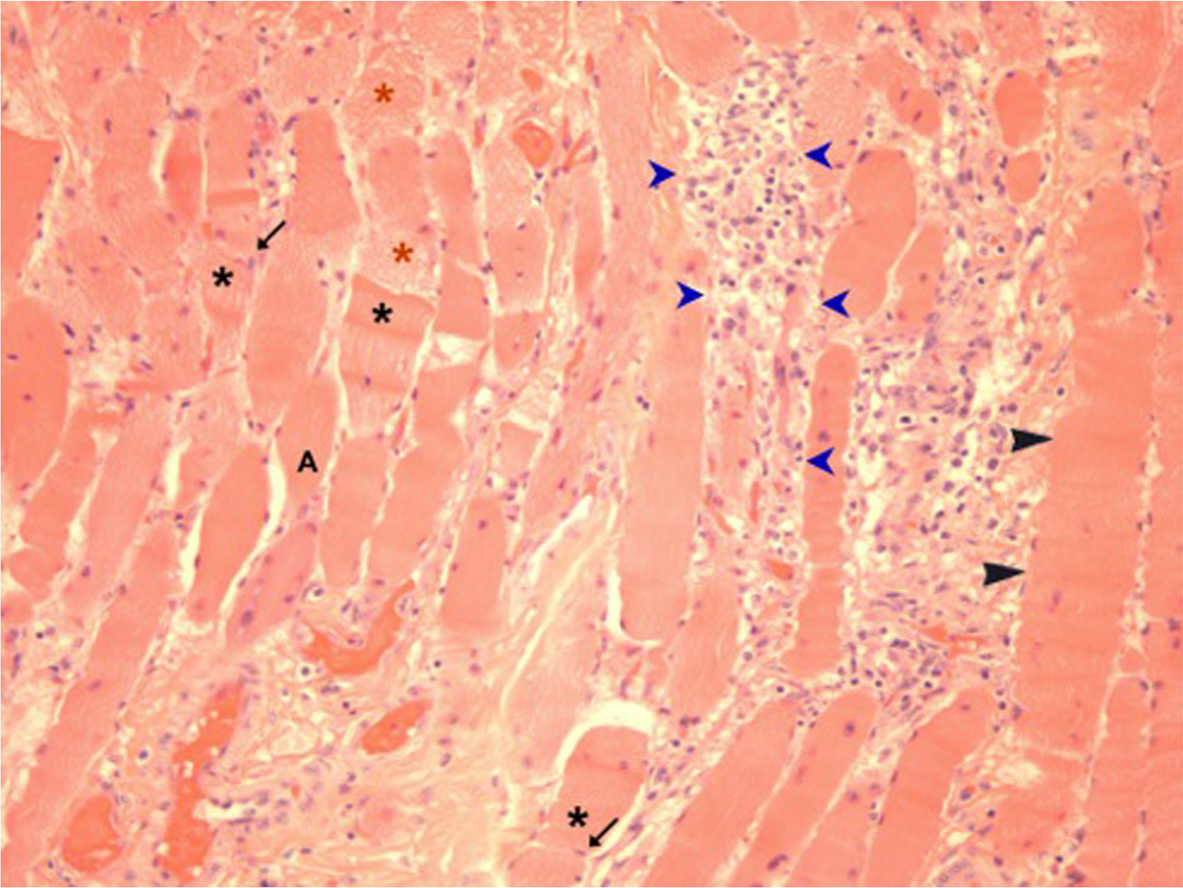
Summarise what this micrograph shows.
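Skeletal muscle in longitudinal and oblique section, with pink myofibres of clearly varying width. A few fibres have pale, granular cytoplasm. In the centre and right, a band of endomysium is widened and crowded with small round and oval nuclei of inflammatory cells, among which fibres are lost or fragmented. Scattered vessels filled with red blood cells lie in loose, pale connective tissue between the fibres.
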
